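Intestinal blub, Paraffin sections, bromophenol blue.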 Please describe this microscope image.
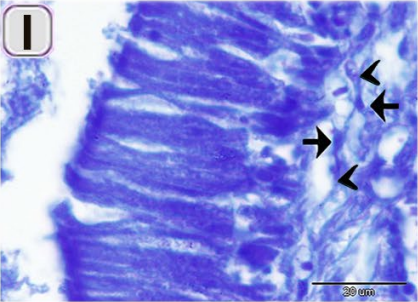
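The field shows a tall columnar epithelium stained deep blue on the left and loose underlying connective tissue on the right containing interstitial cells with thin processes. The epithelial cells are long, slender and closely packed, forming a palisade. In the loose tissue to the right, small cell bodies lie among pale spaces. Very thin blue threadlike processes extend from them through the loose tissue.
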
